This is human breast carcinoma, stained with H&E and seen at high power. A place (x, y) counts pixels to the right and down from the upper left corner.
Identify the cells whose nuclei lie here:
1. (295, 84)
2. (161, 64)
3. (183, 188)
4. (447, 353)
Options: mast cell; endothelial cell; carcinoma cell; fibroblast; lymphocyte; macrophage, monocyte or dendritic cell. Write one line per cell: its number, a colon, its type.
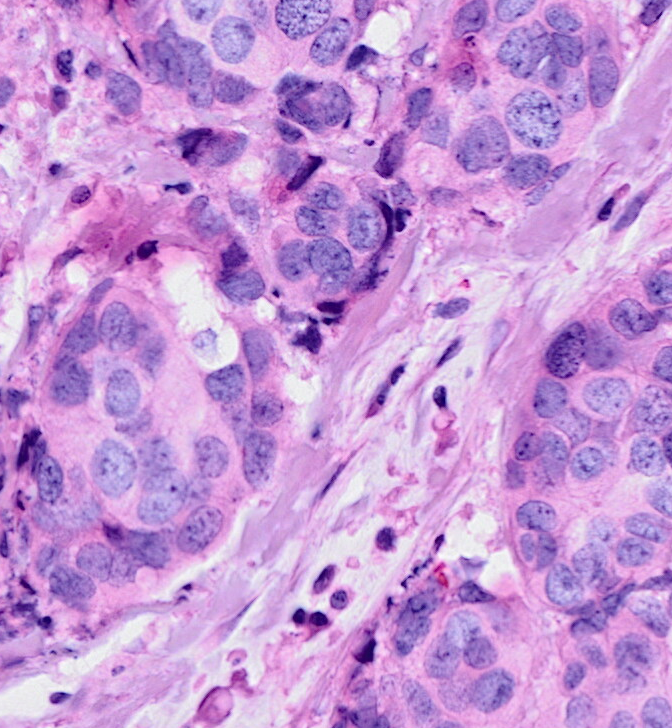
1: carcinoma cell
2: carcinoma cell
3: lymphocyte
4: fibroblast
